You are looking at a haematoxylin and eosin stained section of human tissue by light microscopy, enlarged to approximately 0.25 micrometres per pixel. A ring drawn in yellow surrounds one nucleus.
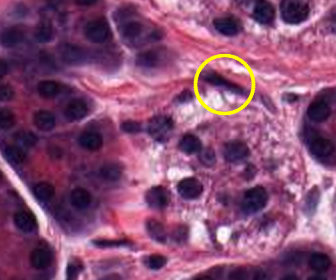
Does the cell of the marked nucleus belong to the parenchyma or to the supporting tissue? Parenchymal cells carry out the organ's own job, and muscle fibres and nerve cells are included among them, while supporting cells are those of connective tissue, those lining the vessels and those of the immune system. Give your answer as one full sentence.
The marked nucleus is the nucleus of a supporting cell in this section.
